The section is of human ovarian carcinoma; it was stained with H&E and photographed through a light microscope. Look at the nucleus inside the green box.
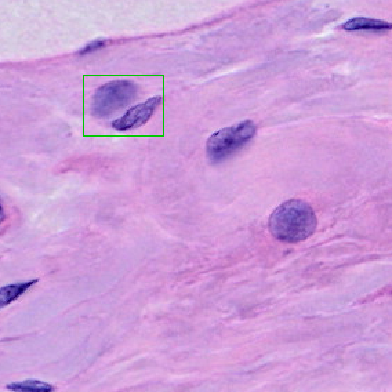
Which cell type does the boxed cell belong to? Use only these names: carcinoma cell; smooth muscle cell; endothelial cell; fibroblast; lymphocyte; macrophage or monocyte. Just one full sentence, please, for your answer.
With respect to cell type, the boxed cell is a fibroblast.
